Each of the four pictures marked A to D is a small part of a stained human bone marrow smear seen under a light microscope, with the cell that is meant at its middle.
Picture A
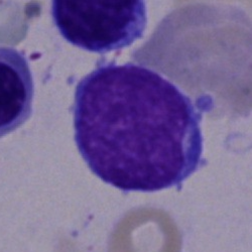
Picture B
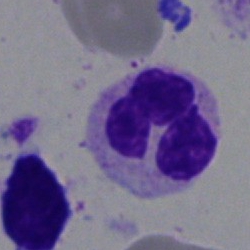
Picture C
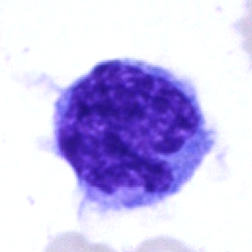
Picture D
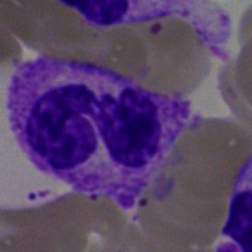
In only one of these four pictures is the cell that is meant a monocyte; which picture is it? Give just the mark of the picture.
C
